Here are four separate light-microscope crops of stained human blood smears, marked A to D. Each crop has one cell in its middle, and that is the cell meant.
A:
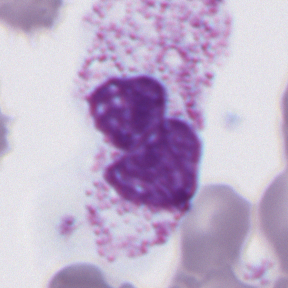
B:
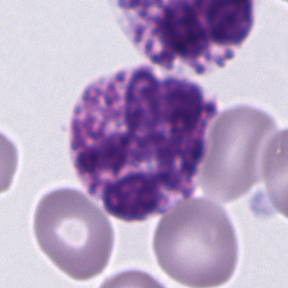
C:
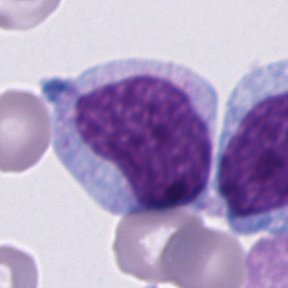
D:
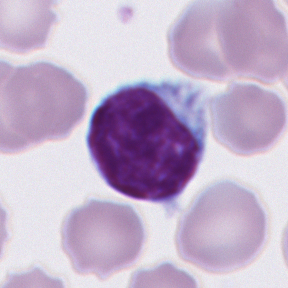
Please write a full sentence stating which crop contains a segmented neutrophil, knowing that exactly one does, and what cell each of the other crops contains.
Crop A is a segmented neutrophil; as for the rest, crop B is a basophil, crop C is a promyelocyte and crop D is a typical lymphocyte.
